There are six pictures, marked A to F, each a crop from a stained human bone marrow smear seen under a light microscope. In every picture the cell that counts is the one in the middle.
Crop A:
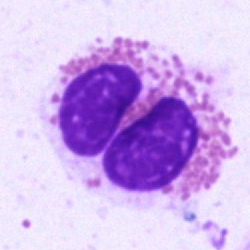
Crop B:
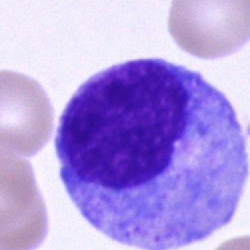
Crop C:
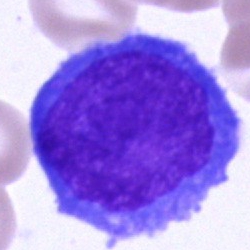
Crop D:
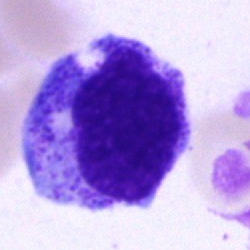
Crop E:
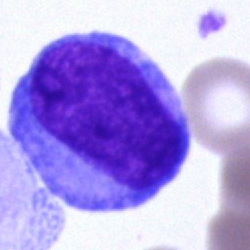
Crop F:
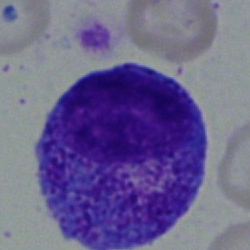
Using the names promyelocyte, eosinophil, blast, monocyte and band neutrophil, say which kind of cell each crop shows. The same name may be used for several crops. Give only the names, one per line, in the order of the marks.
eosinophil
promyelocyte
blast
promyelocyte
blast
promyelocyte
